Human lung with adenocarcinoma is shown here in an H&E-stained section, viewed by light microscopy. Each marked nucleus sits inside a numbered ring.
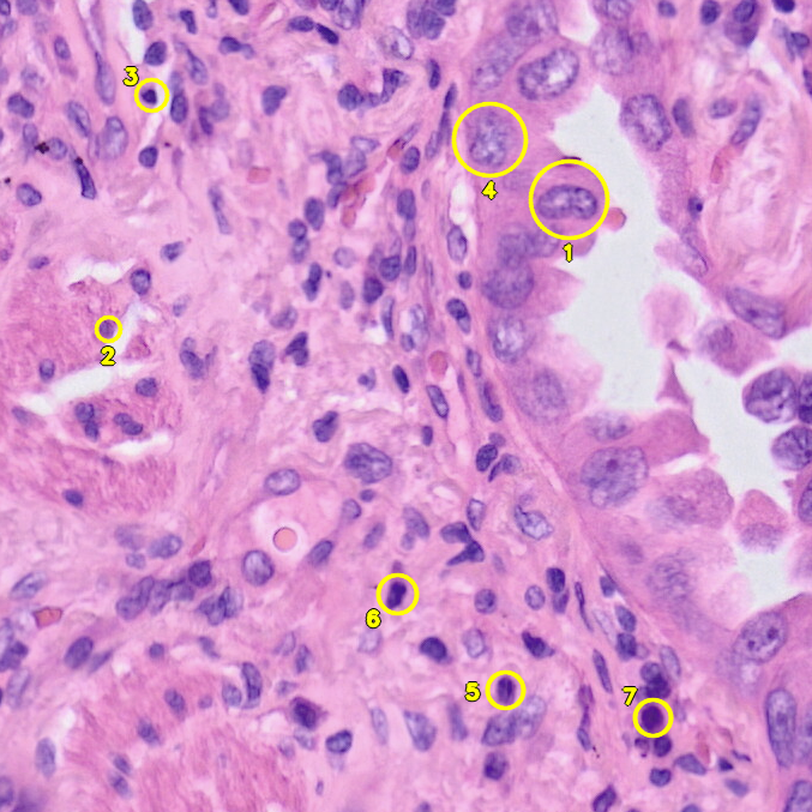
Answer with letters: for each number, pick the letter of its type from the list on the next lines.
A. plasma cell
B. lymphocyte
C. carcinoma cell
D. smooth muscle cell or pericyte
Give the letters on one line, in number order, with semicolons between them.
C; D; B; C; A; A; A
